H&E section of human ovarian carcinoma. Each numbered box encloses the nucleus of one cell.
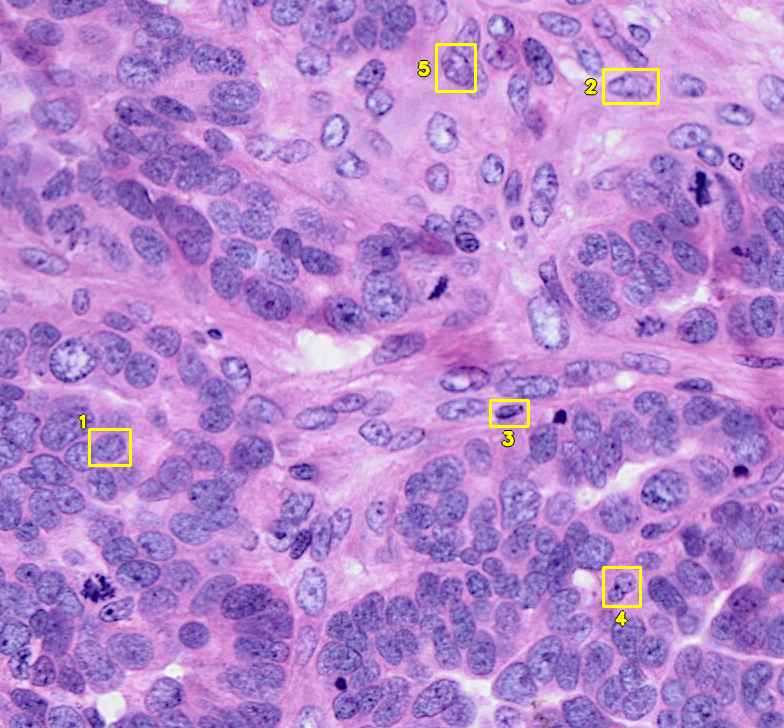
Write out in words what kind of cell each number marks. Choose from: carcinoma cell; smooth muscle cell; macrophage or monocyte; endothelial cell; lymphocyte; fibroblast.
Cell 1 is a carcinoma cell, cell 2 is a fibroblast, cell 3 is a lymphocyte, cell 4 is a macrophage or monocyte and cell 5 is a fibroblast.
